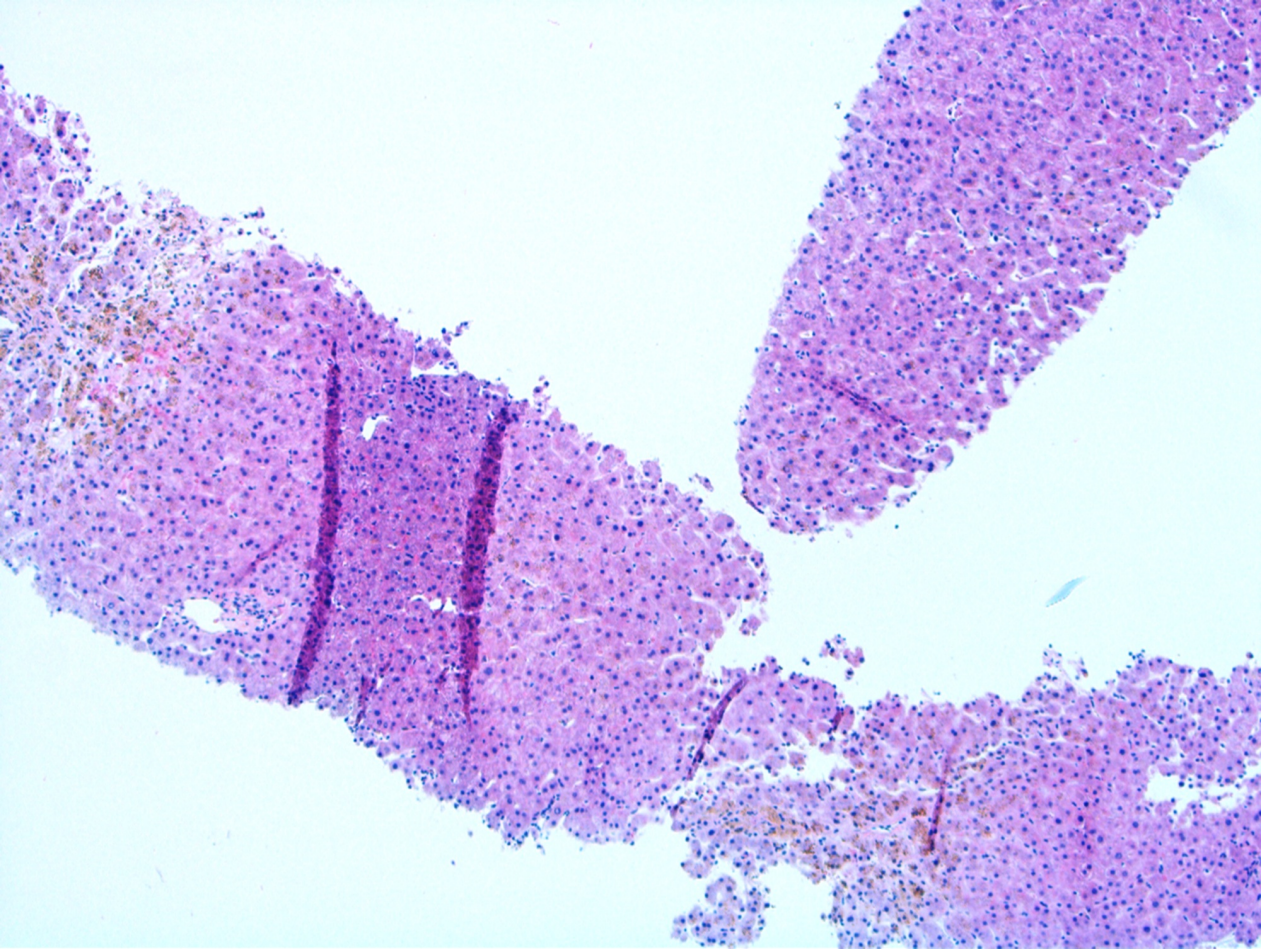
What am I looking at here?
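Fragments of liver tissue made up of plates of large polygonal hepatocytes with round central nuclei and pink cytoplasm. In patches at the left and lower middle, golden-brown granular pigment fills the cytoplasm of hepatocytes, while other areas are free of it. Several narrow dark purple bands cross the fragments.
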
